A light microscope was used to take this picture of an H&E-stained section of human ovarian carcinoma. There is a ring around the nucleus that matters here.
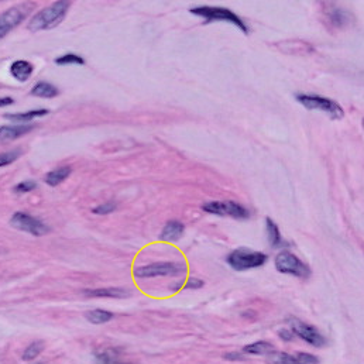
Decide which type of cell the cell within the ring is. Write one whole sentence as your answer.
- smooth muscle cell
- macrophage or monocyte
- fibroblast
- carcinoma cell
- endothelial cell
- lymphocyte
Within this tissue, the cell within the ring is a smooth muscle cell.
